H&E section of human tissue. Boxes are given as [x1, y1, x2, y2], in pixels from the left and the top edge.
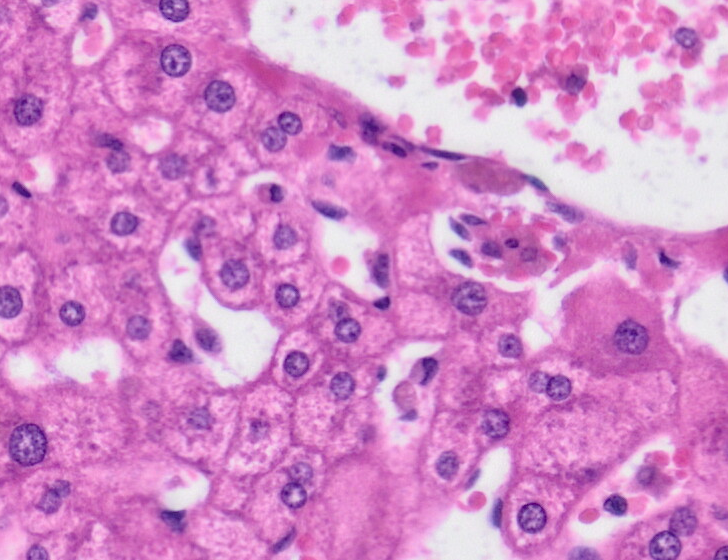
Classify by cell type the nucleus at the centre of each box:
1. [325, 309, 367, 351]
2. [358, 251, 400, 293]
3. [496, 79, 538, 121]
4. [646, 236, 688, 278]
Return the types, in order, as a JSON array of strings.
["hepatocyte", "Kupffer cell", "lymphocyte", "fibroblast or stellate cell"]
